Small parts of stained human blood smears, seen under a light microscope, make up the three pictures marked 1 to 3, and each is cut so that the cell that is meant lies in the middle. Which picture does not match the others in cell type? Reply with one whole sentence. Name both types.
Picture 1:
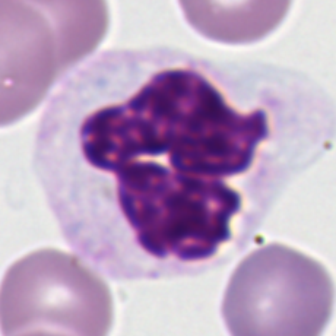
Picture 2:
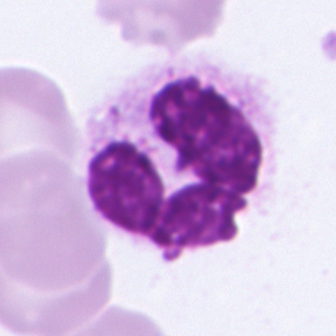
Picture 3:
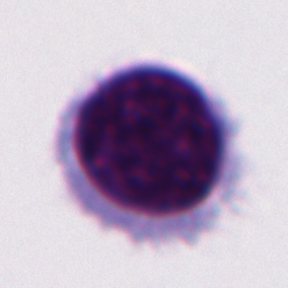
The different one is picture 3; it shows a hairy cell, whereas all the others show segmented neutrophils.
